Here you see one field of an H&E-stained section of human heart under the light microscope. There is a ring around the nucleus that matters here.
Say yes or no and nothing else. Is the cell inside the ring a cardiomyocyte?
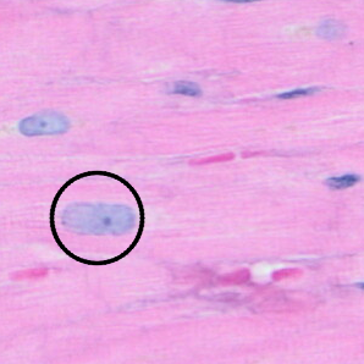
yes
